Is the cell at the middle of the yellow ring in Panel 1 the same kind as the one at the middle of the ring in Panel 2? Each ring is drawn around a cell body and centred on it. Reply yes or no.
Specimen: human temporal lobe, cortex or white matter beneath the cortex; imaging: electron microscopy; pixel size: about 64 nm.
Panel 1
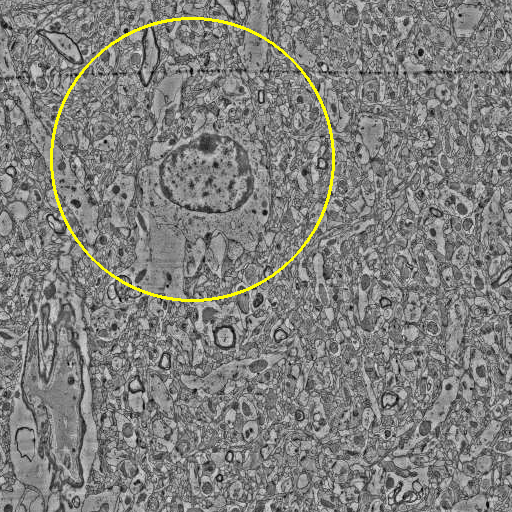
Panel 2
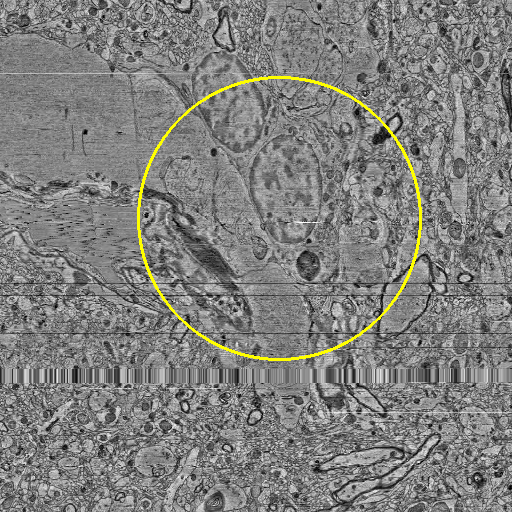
no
